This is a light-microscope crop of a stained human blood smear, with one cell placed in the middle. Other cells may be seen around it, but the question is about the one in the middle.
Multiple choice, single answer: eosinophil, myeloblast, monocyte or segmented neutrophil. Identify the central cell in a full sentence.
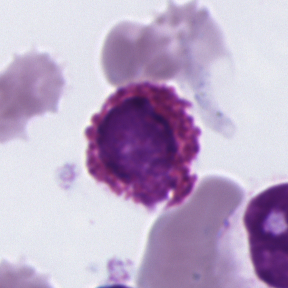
The cell shown in the center of this light-microscope crop is an eosinophil.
